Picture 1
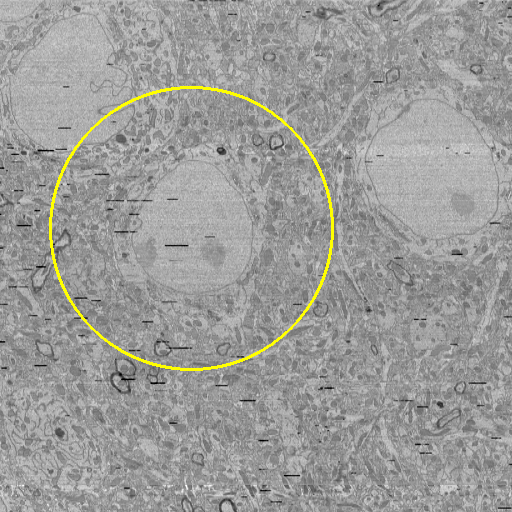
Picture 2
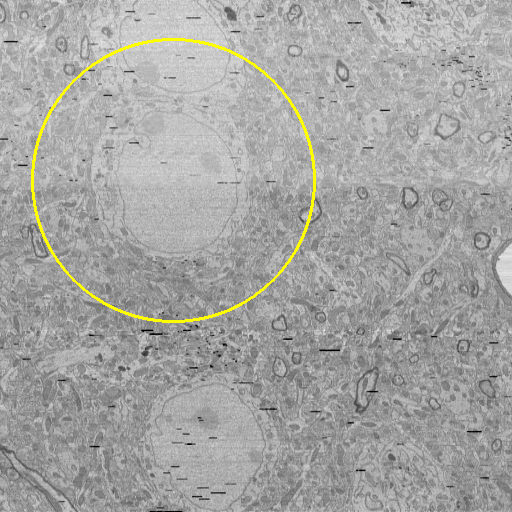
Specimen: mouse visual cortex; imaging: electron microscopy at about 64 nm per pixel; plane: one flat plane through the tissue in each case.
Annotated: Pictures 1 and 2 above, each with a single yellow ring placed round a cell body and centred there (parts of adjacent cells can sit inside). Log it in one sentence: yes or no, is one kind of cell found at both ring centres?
Yes, the ring centres of the two pictures hold cells of one kind.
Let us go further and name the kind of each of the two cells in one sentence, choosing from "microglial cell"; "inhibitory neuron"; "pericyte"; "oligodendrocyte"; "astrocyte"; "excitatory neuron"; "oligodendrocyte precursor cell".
In both pictures the ring is centred on an excitatory neuron.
